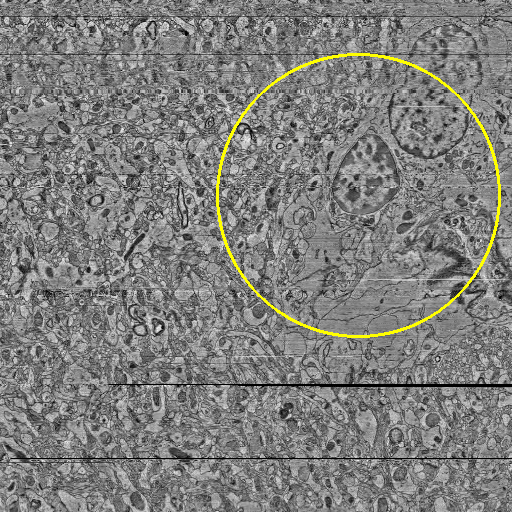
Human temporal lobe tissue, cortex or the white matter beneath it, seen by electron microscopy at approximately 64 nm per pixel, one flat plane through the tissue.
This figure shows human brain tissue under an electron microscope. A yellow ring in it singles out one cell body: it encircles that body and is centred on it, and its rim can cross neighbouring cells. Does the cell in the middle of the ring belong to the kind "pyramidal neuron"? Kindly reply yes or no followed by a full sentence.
No, the cell centred in the figure's ring belongs to a different kind from the one asked.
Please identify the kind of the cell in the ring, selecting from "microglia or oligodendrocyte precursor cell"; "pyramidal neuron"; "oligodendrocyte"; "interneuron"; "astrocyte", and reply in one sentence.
Instead, the ring surrounds a microglial cell or oligodendrocyte precursor cell in this picture.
